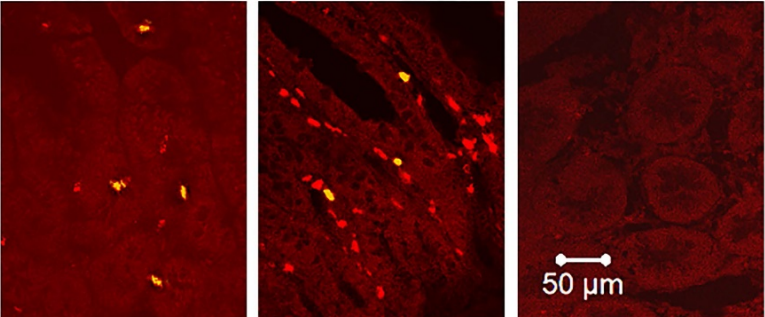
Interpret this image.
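In the left image only a few small oval cells are lit, and several of them glow yellow where the two colours overlap. The right image shows only faint background with rounded gland-like outlines and no bright cells.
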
